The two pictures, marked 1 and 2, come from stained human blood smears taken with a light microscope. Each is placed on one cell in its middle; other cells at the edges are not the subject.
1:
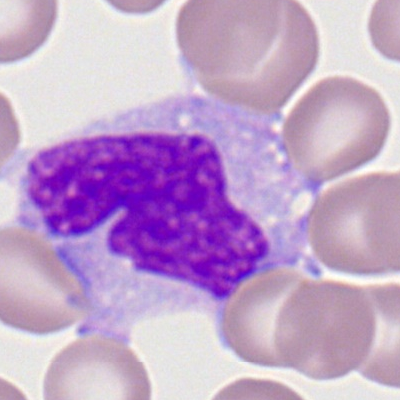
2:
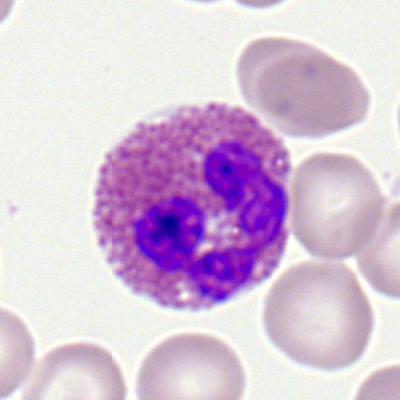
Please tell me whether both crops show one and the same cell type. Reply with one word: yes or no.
no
